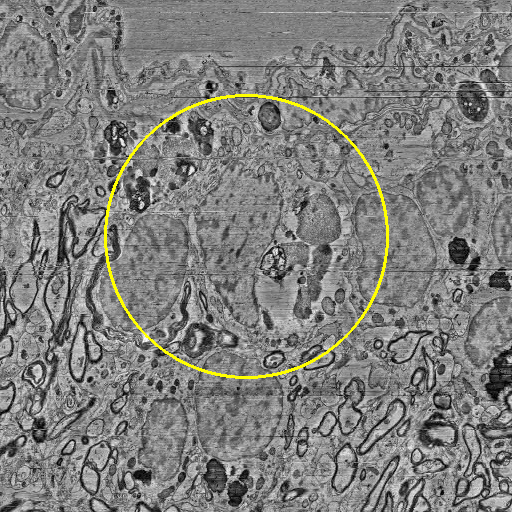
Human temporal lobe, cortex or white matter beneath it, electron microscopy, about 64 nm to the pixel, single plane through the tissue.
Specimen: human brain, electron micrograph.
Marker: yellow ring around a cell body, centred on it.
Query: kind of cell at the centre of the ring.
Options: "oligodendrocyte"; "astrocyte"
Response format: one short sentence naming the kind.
This cell body belongs to an astrocyte.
